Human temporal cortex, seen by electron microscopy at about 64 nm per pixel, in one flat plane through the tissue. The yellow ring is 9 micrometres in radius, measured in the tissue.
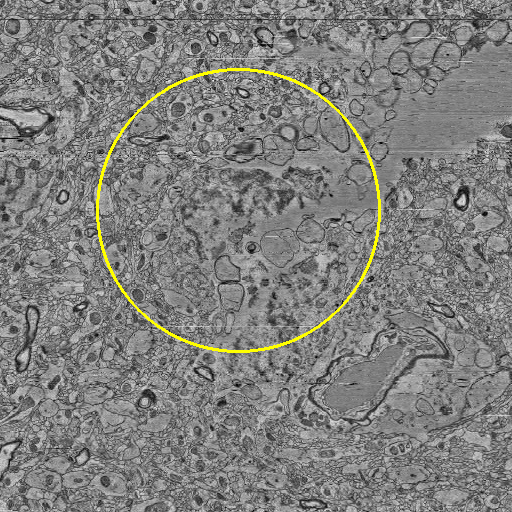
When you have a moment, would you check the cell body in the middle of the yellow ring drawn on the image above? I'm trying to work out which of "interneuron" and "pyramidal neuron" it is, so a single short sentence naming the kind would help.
This cell body belongs to an interneuron.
